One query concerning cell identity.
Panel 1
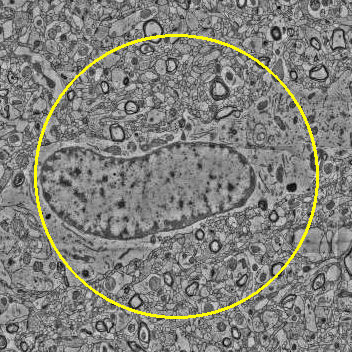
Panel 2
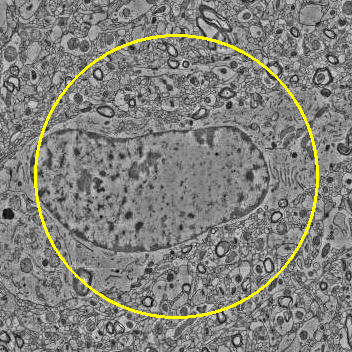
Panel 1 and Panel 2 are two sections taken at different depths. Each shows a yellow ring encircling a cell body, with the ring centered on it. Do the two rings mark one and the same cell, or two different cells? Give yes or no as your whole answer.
yes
